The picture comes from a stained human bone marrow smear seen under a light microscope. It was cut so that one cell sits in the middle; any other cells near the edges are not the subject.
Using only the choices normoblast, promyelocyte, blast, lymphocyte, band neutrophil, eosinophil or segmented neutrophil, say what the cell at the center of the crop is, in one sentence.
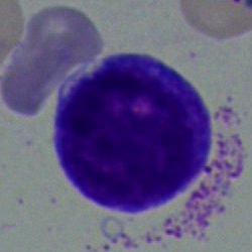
The central cell, amid any neighbouring cells, is a blast.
